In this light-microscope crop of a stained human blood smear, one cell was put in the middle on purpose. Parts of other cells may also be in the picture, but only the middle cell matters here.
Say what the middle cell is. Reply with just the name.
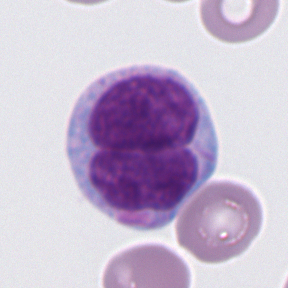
atypical promyelocyte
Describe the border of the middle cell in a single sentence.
Around its whole circumference the outline stays smooth, free of projections.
